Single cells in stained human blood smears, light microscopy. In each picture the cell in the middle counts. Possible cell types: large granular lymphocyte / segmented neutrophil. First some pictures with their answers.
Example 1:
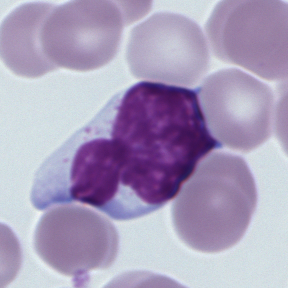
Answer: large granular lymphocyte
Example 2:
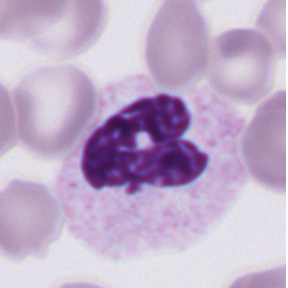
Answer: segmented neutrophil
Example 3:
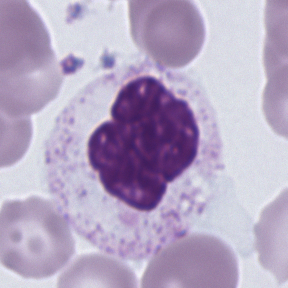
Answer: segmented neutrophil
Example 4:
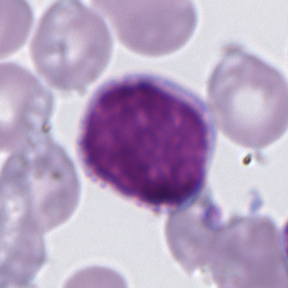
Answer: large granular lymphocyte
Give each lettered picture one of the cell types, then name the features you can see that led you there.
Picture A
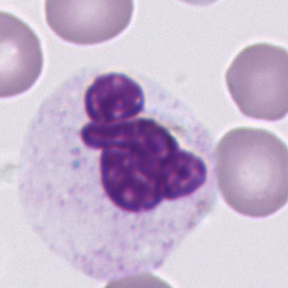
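segmented neutrophil. Reason: The cytoplasm is abundant around the nucleus.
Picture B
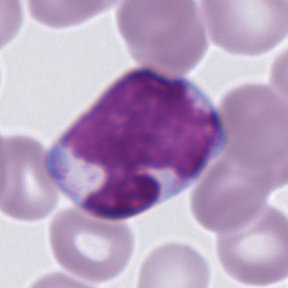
large granular lymphocyte. Reason: The cytoplasm is scanty and lies mostly at the lower left and within the notch.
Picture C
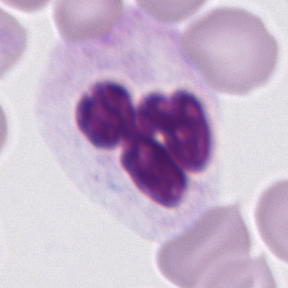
segmented neutrophil. Reason: The cytoplasm is abundant and pale pinkish-lilac.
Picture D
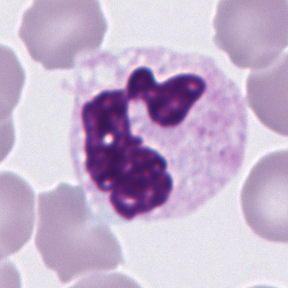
segmented neutrophil. Reason: The cytoplasm is plentiful and pale pinkish-lilac.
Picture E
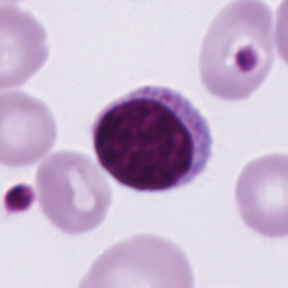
large granular lymphocyte. Reason: The cytoplasm forms a narrow pale bluish-lilac crescent that is widest on the right side.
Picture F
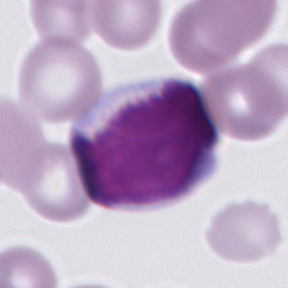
large granular lymphocyte. Reason: The cytoplasm forms only a thin rim around the nucleus.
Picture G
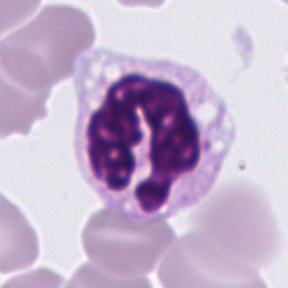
segmented neutrophil. Reason: The nucleus is a single curved horseshoe-shaped mass whose open side faces downward.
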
